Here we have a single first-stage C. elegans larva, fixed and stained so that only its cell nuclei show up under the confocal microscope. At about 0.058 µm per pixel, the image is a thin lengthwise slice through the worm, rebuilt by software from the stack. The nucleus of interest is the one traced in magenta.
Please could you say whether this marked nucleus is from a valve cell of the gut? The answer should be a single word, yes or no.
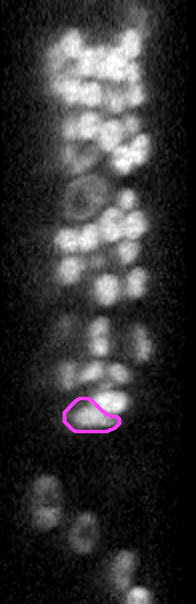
yes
